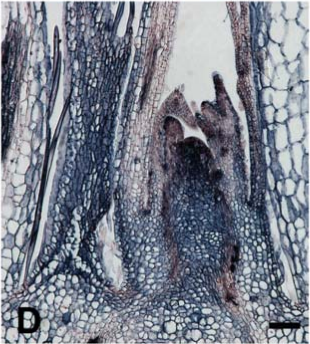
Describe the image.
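The central column and dome of small, densely packed cells are stained dark blue-black. Young leaf primordia rise above the dome, and longer leaf bases with elongated cells flank it on both sides. Below, the stem is made of larger, rounder, paler cells.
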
